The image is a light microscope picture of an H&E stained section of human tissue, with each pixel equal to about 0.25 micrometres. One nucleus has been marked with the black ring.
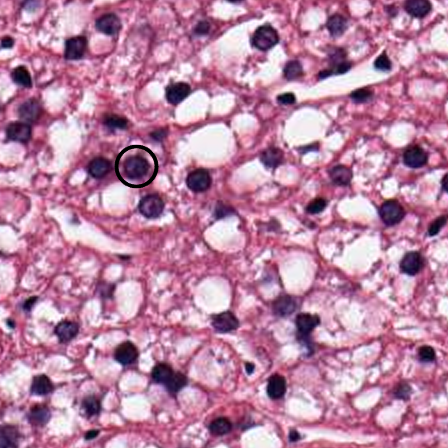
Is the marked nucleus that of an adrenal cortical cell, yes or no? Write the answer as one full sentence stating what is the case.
Yes, the nucleus that has been marked is that of an adrenal cortical cell.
